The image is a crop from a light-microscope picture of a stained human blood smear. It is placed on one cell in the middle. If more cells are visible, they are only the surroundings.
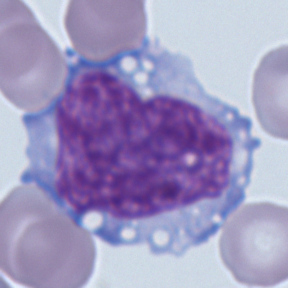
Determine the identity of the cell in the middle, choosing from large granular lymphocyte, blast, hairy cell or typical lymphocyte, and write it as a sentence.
Whatever else lies nearby, the middle cell is a blast.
